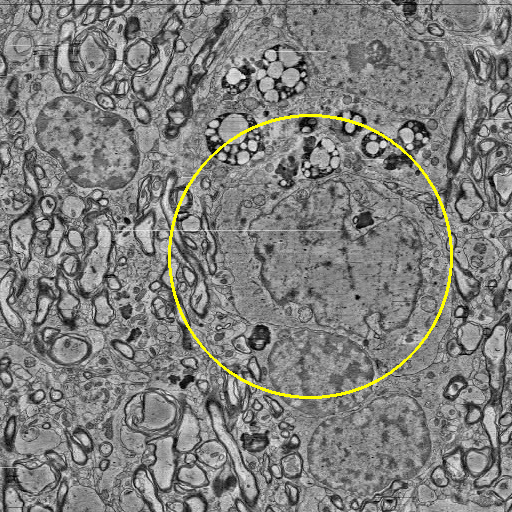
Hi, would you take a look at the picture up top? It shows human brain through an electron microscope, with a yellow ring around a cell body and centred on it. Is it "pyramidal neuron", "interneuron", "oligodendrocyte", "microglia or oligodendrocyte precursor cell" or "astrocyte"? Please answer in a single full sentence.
The best fit for the cell in the middle of the ring is an interneuron, I reckon.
